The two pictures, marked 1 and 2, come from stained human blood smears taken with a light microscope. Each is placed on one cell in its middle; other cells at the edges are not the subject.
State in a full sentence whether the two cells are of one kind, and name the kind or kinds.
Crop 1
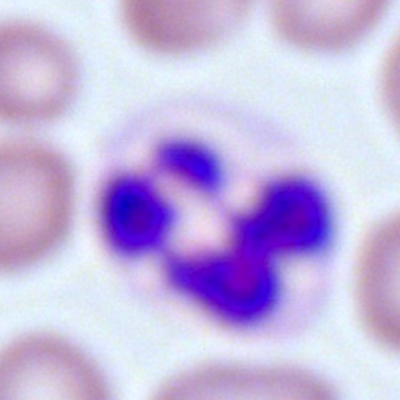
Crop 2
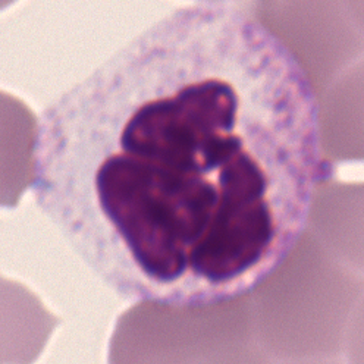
Yes, for both crops, the central cells are segmented neutrophils.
